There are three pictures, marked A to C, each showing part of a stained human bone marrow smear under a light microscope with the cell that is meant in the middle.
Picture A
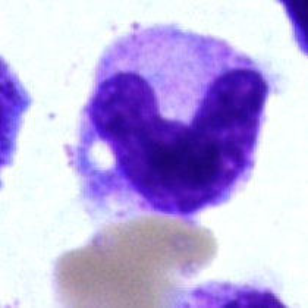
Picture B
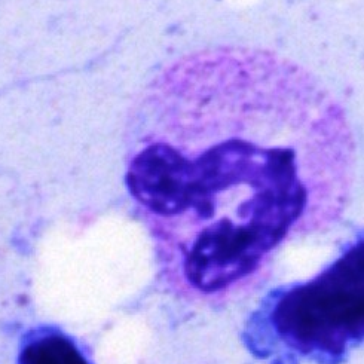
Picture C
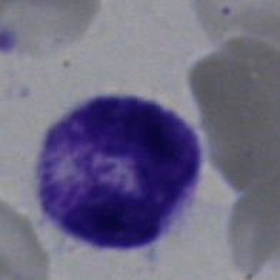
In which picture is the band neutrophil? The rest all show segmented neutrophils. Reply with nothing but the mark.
A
